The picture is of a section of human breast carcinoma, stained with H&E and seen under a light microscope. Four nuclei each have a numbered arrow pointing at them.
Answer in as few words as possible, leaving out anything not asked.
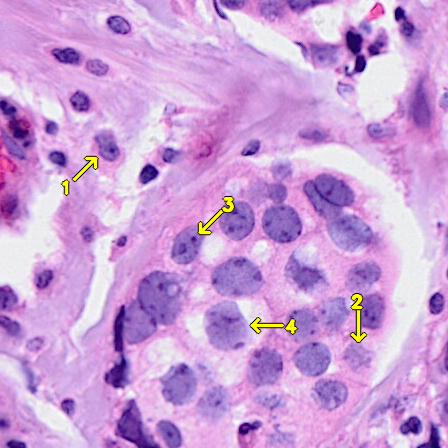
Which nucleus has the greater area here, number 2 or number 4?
4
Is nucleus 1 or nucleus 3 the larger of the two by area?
3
